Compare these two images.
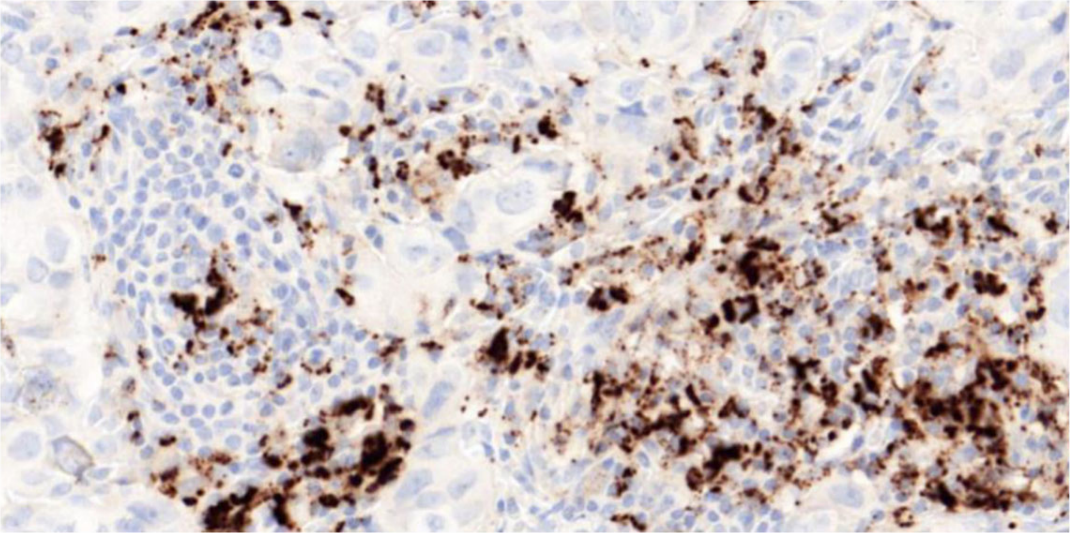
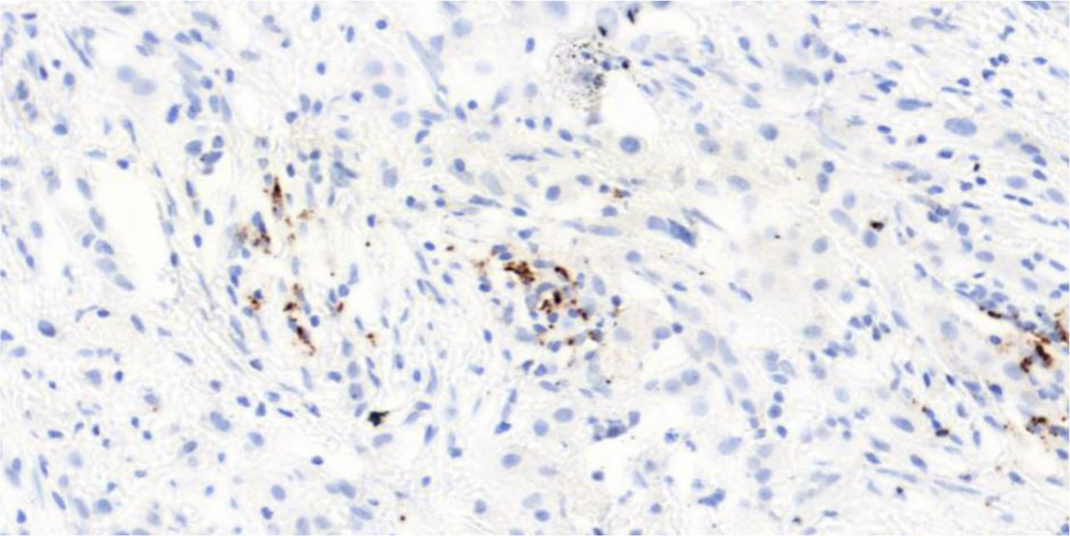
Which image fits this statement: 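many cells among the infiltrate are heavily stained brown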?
The first image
